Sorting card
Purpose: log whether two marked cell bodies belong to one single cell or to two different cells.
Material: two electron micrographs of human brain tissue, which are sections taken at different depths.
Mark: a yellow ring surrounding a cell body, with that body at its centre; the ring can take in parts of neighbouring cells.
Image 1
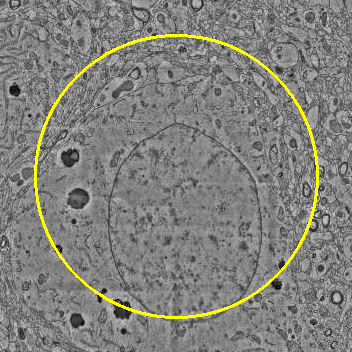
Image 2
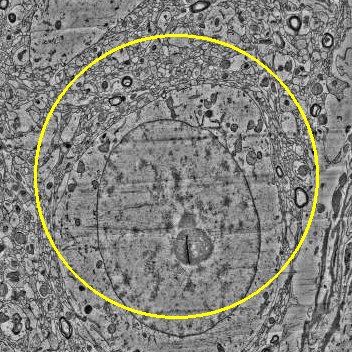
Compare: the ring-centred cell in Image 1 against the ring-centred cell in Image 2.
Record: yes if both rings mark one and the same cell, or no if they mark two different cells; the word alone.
no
